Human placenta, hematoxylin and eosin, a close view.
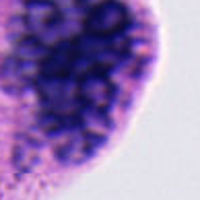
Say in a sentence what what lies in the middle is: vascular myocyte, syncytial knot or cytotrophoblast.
This is a syncytial knot.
